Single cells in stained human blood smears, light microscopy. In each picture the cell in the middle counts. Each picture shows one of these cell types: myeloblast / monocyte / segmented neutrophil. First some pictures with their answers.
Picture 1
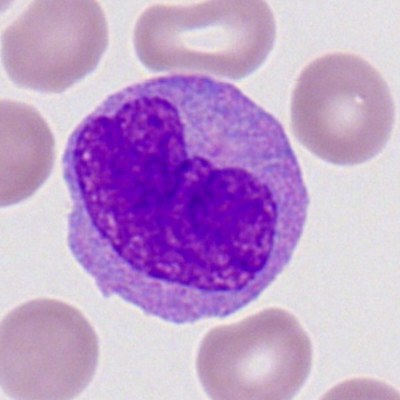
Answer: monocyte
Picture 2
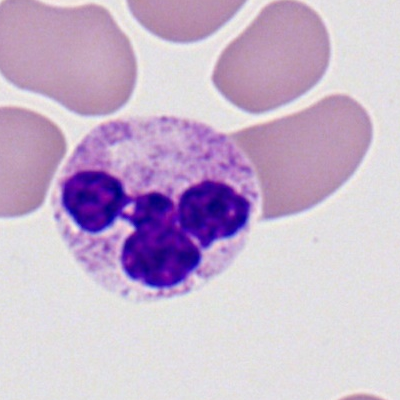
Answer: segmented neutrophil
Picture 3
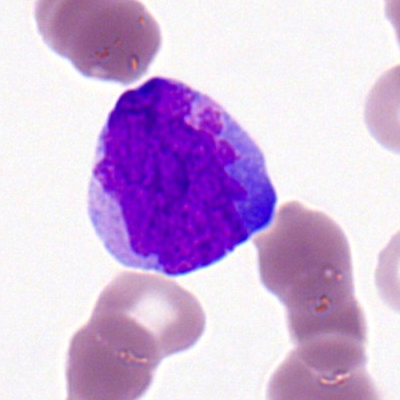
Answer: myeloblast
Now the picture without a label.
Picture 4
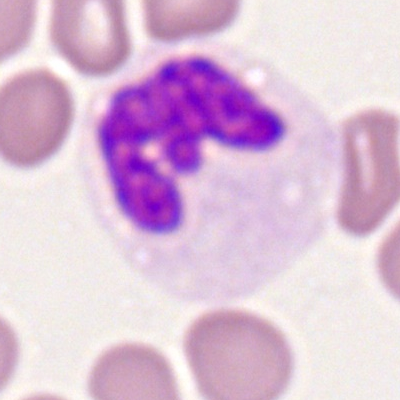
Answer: segmented neutrophil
